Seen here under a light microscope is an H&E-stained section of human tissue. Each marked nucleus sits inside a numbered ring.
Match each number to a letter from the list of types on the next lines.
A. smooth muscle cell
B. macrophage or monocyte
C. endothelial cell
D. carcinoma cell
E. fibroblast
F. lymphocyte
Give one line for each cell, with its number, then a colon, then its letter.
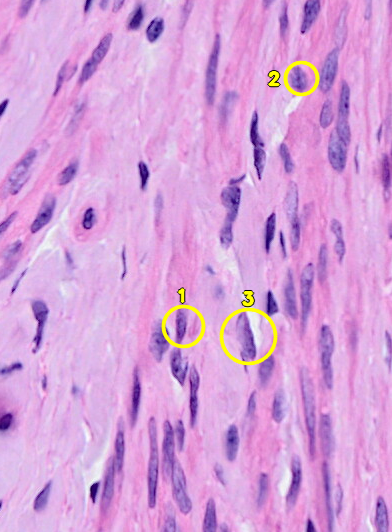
1: A
2: A
3: E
